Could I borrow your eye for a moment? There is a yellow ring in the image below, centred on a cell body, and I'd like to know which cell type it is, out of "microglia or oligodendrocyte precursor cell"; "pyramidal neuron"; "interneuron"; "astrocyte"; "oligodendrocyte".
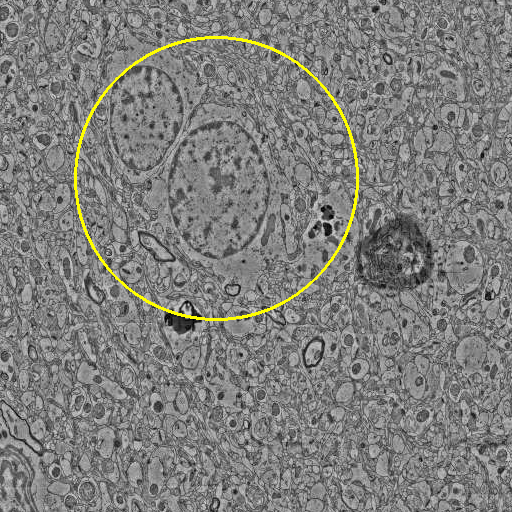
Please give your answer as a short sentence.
The cell body at the centre is that of an astrocyte.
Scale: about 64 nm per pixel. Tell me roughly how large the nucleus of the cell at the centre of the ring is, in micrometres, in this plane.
In this plane the nucleus measures roughly 9 by 6 micrometres.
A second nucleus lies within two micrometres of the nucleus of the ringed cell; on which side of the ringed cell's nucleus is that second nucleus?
That other nucleus appears to the upper left of it.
